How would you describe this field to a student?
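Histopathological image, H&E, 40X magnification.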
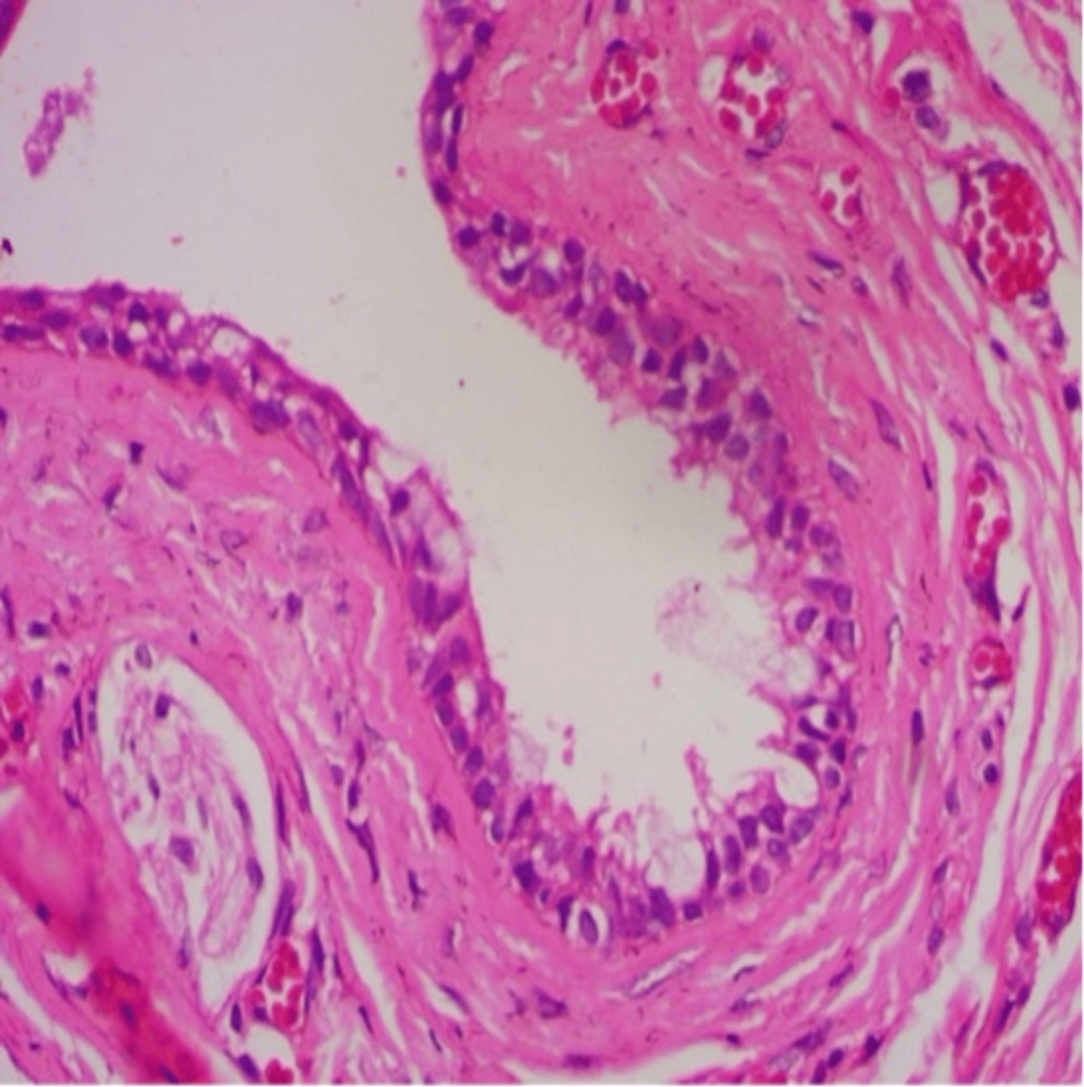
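Cyst wall lined by pseudostratified columnar epithelium, with goblet cells, over fibrous connective tissue. The lining borders a wide empty lumen; its cells are tall and crowded, their purple oval nuclei lying at several different heights. Scattered cells in the lining have pale, clear cytoplasm toward the lumen. Beneath the lining lies a thick band of pink, wavy collagen fibres with scattered spindle-shaped nuclei, arranged roughly parallel to the surface. In the stroma, especially on the right, small thin-walled vessels lined by flat cells are packed with bright red blood cells. Faint pale material lies free in the lumen.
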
